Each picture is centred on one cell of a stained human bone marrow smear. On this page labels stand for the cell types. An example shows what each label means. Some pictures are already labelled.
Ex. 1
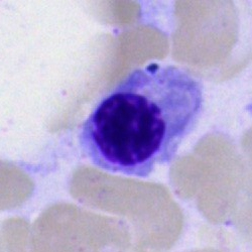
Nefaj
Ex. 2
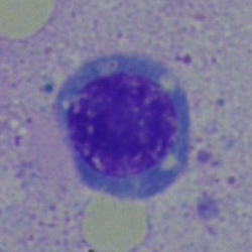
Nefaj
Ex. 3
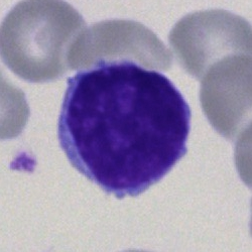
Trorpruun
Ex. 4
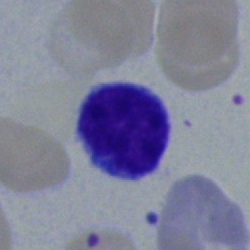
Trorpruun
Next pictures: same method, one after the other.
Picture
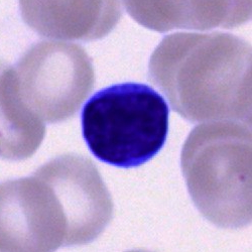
Trorpruun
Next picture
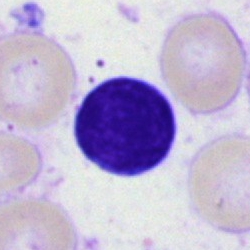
Trorpruun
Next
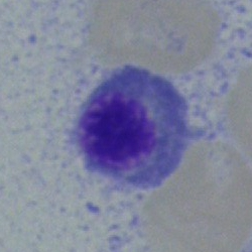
Nefaj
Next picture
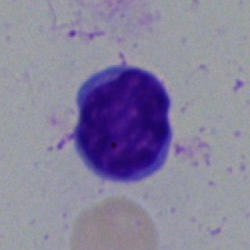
Trorpruun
